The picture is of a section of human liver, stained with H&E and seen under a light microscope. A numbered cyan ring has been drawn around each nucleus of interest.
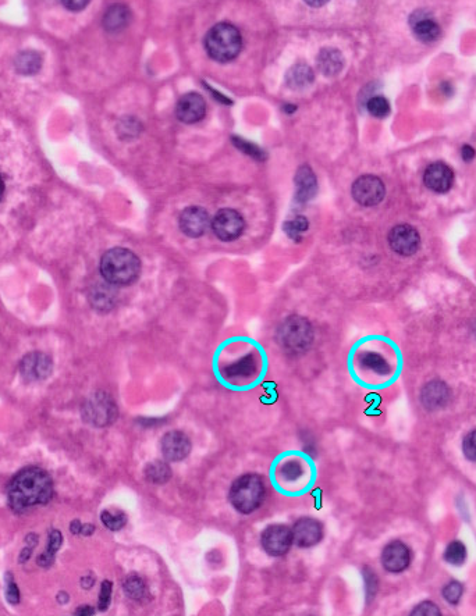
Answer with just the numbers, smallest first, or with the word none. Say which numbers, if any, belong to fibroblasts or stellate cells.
3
